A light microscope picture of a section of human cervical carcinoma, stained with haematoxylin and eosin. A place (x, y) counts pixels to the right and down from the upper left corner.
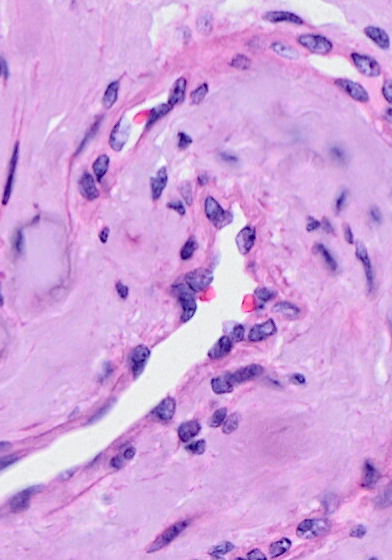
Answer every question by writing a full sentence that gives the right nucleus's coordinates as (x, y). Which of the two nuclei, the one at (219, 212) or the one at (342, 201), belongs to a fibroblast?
Of the two candidate nuclei, the one at (342, 201) is that of a fibroblast.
